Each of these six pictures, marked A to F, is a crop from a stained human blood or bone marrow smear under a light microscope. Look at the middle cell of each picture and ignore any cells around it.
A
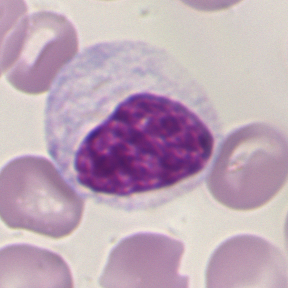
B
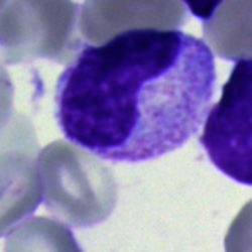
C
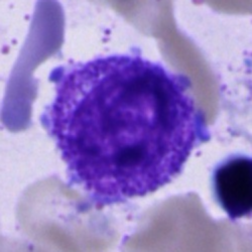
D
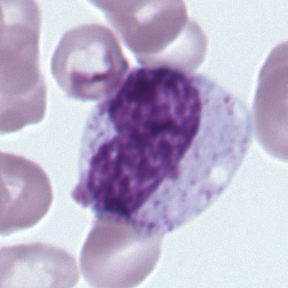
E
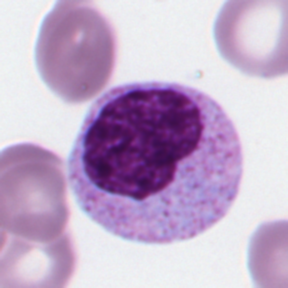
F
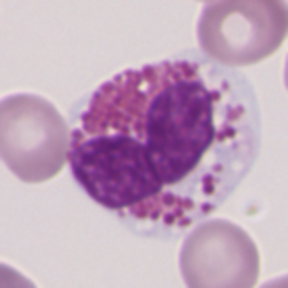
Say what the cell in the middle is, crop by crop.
A: metamyelocyte
B: metamyelocyte
C: promyelocyte
D: metamyelocyte
E: metamyelocyte
F: eosinophil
